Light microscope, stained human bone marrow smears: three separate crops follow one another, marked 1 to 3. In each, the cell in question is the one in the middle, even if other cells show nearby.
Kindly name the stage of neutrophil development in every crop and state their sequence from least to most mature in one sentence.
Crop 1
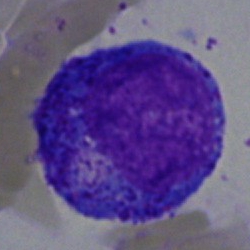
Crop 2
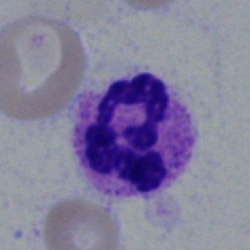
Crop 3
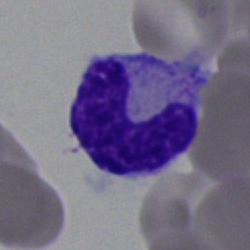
When ranked by maturity from lowest to highest, the order is crop 1 (a promyelocyte), crop 3 (a band neutrophil) and crop 2 (a segmented neutrophil).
